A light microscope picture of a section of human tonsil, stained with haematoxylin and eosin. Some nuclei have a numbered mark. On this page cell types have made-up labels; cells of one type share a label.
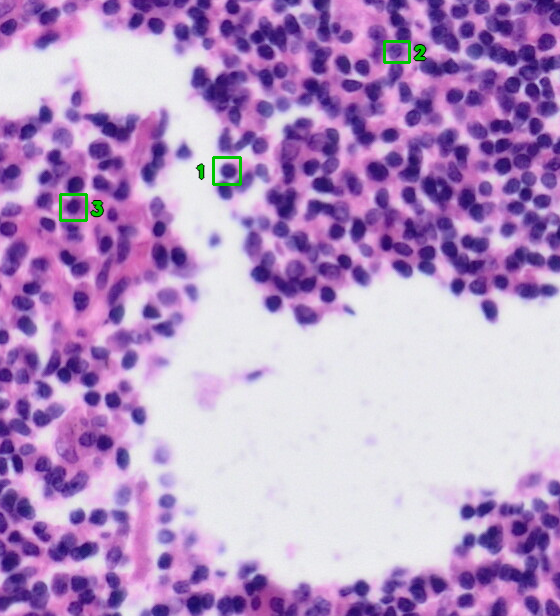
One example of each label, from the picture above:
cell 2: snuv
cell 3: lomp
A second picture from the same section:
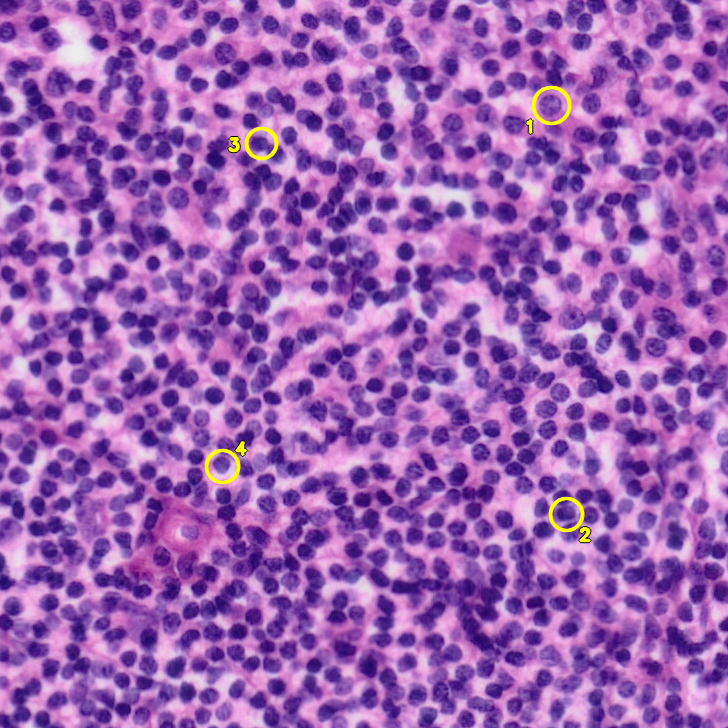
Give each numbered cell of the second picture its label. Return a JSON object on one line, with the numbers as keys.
{"1": "lomp", "2": "snuv", "3": "snuv", "4": "snuv"}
